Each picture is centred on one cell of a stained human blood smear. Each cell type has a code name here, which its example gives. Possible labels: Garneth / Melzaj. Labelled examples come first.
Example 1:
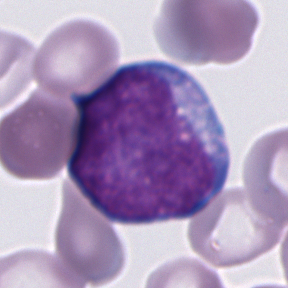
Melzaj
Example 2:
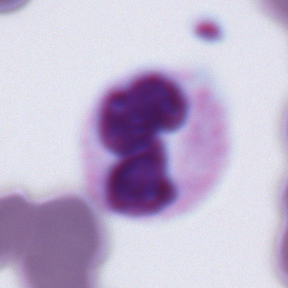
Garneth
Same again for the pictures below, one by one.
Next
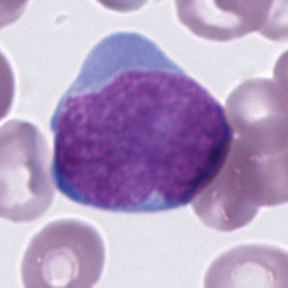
Melzaj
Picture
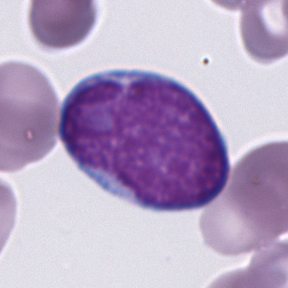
Melzaj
